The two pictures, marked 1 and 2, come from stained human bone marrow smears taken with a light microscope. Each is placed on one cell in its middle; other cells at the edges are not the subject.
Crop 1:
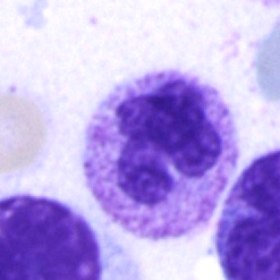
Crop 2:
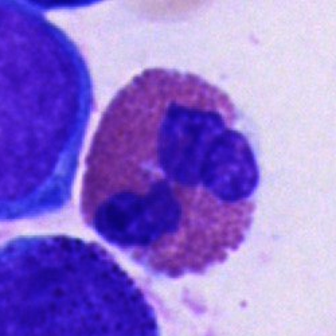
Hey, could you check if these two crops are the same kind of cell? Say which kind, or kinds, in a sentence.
No, crop 1 features a neutrophil, while crop 2 features an eosinophil.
